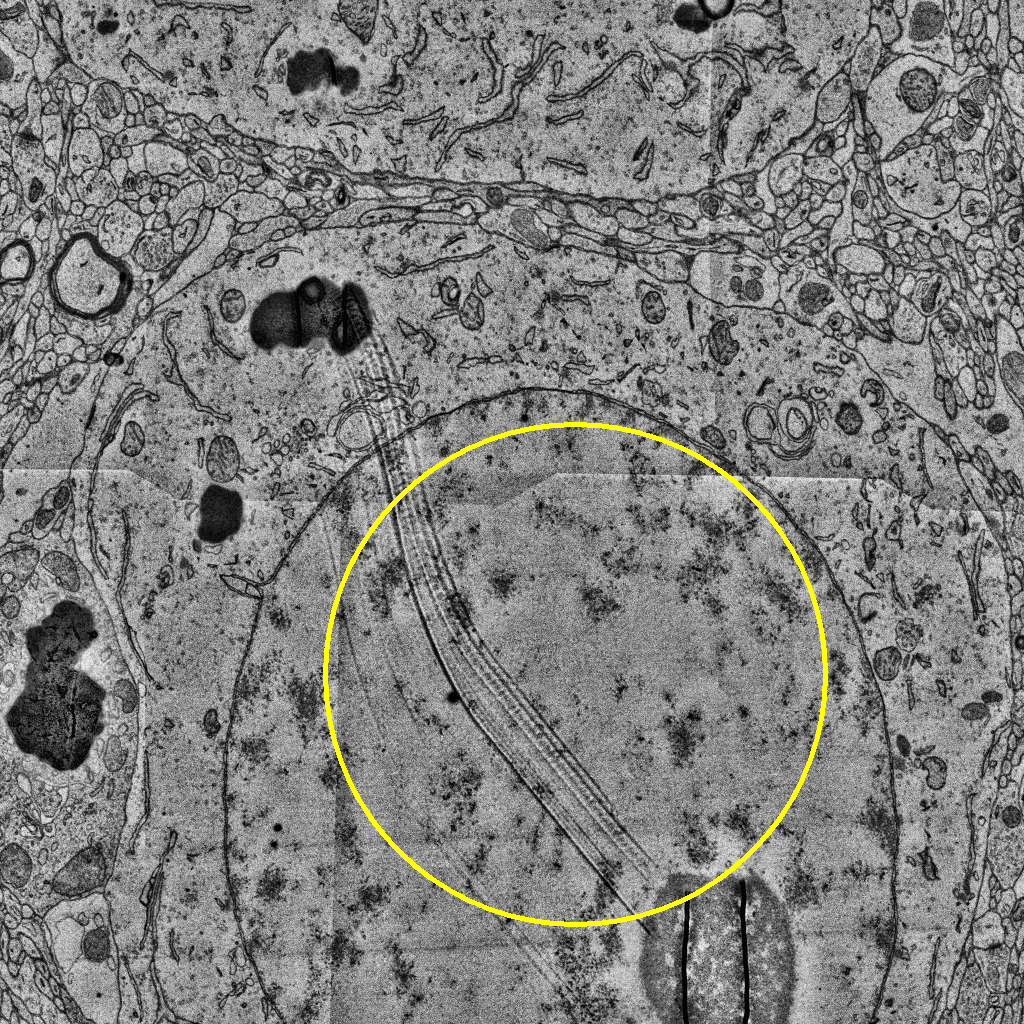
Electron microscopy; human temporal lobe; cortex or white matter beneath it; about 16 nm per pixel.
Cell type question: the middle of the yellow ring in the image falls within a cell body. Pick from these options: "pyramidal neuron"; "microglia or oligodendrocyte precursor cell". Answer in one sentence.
The cell body at the center of the ring belongs to a pyramidal neuron.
